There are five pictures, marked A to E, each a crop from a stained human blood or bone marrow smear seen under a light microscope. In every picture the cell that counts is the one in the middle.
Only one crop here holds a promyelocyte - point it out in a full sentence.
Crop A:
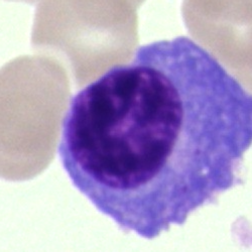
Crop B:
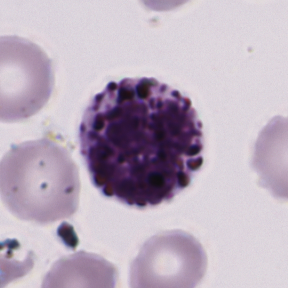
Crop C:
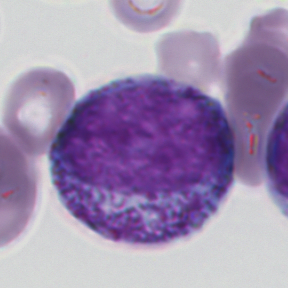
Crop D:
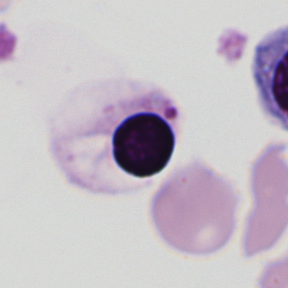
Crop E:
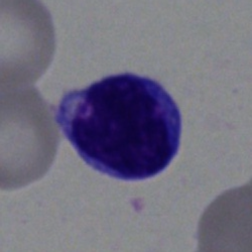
The crop that shows a promyelocyte is crop C.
